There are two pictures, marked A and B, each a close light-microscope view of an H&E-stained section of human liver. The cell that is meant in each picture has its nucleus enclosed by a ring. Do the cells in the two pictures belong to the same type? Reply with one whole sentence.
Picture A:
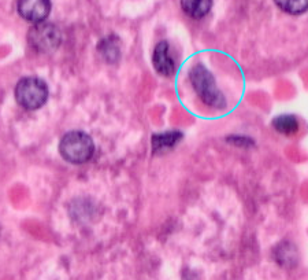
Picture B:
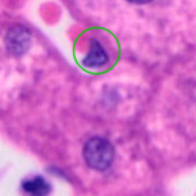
No, the types are not the same, since picture A shows a Kupffer cell and picture B an endothelial cell.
